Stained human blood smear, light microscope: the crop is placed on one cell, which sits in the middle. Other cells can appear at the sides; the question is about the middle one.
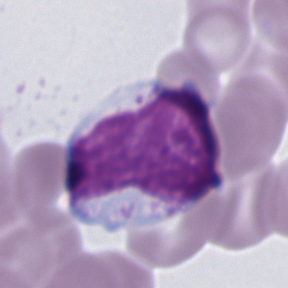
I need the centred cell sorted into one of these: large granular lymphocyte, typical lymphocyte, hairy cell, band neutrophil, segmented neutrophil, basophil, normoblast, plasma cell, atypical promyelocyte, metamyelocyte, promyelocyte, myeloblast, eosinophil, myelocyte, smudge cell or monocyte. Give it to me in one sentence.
Within this crop, a large granular lymphocyte occupies the central position.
